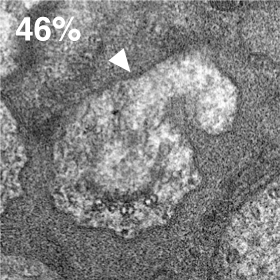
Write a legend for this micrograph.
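Transverse section through a single cilium at the ciliary base. From one side a large, rounded, pale membrane outpocketing bulges out, marked by an arrowhead. The outline of the cilium is therefore irregular rather than round. Surrounding cytoplasm is finely granular.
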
